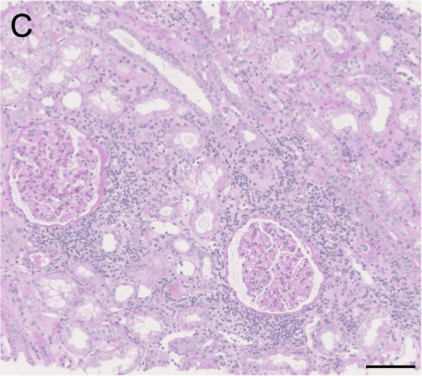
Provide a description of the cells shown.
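Renal cortex with two glomeruli surrounded by tubules and a heavily cellular interstitium. Dense collections of small round dark nuclei of inflammatory cells expand the spaces between tubules and crowd around them. The glomeruli show pink tufts within clear capsular spaces.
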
